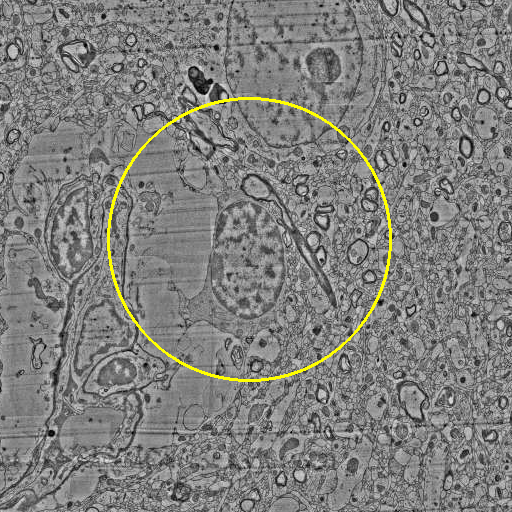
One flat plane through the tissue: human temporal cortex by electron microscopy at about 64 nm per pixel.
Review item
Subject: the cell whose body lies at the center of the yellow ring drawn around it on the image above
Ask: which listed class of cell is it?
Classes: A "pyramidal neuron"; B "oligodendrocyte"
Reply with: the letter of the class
B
